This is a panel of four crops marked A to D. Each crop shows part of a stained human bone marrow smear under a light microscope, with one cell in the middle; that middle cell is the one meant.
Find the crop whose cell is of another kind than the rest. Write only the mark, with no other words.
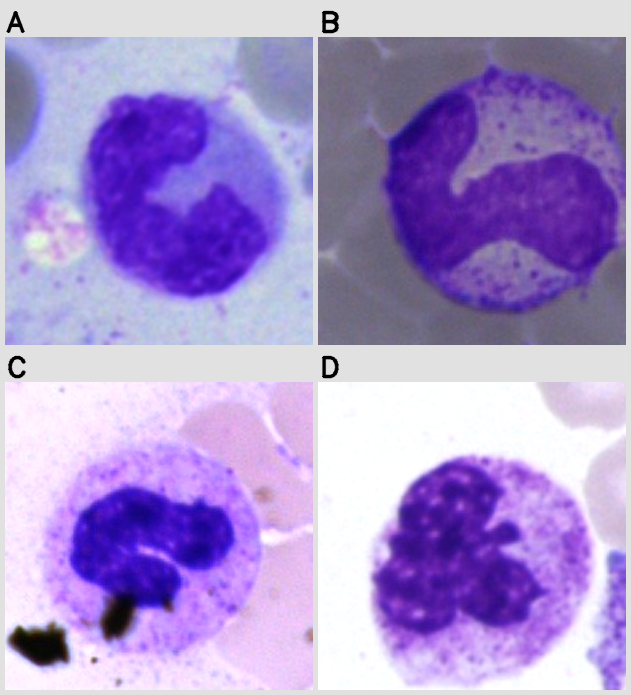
D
